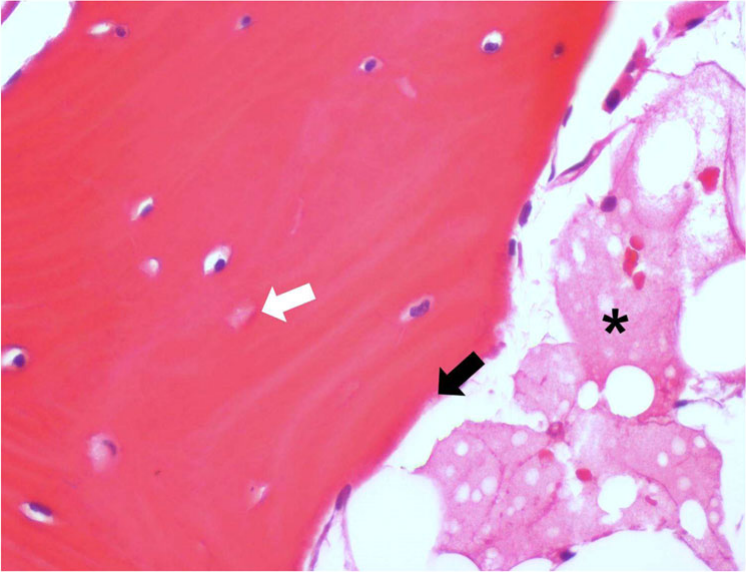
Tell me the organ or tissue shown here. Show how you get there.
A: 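Bone lamella. A broad band of dense, homogeneous, intensely pink matrix fills the left of the panel. Small cells with dark nuclei sit in scattered lacunae within the pink matrix. Faint parallel lines run through the matrix.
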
